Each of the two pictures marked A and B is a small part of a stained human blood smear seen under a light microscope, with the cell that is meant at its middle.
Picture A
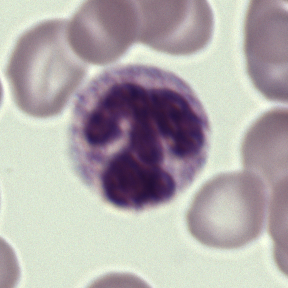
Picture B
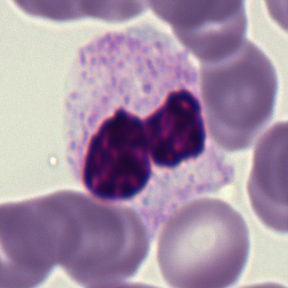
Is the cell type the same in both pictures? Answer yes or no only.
yes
